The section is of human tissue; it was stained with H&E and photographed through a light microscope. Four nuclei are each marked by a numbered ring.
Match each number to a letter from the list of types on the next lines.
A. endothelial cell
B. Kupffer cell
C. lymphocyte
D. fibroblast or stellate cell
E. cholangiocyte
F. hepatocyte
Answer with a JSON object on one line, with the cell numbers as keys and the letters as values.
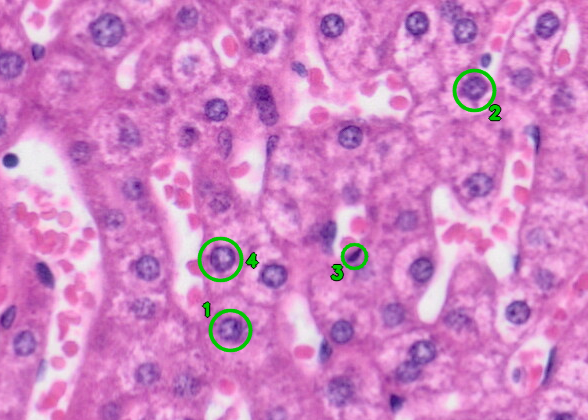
{"1": "F", "2": "F", "3": "D", "4": "F"}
